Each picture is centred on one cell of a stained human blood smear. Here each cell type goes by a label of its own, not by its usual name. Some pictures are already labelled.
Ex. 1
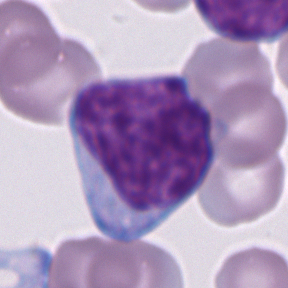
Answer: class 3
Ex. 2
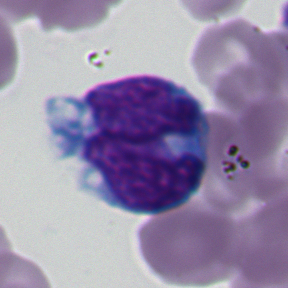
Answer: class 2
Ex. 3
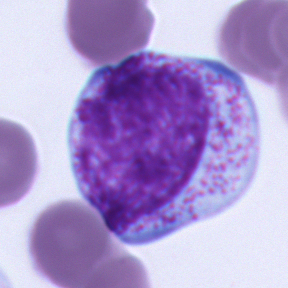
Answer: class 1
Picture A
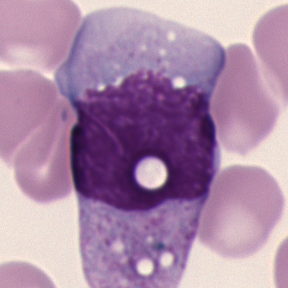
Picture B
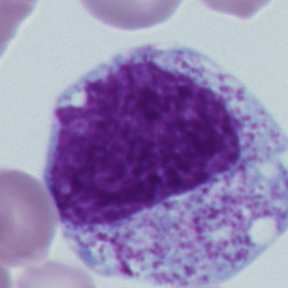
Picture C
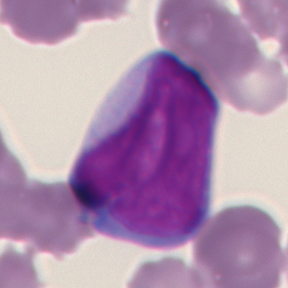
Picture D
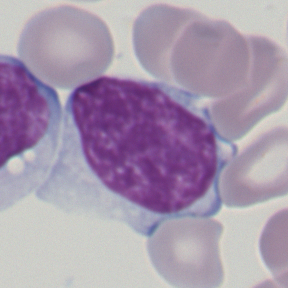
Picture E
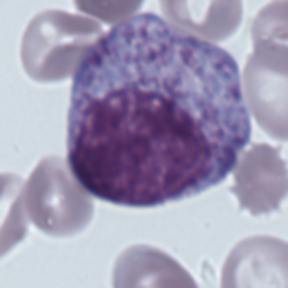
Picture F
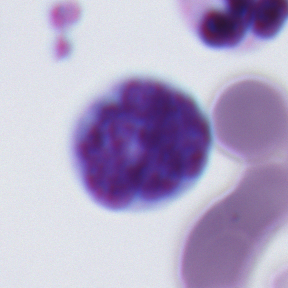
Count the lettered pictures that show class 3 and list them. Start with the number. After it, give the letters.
Count: 2 (C, D)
